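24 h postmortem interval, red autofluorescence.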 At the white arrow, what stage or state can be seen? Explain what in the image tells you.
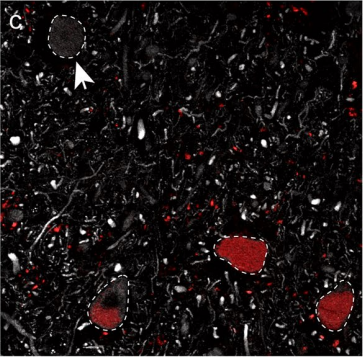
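The indicated outlined cell body shows only grey signal and no red fluorescence.
Conclusion: free of lipofuscin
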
